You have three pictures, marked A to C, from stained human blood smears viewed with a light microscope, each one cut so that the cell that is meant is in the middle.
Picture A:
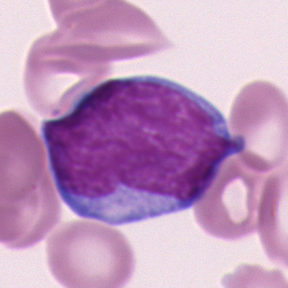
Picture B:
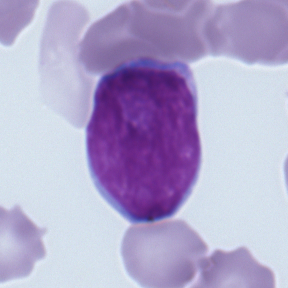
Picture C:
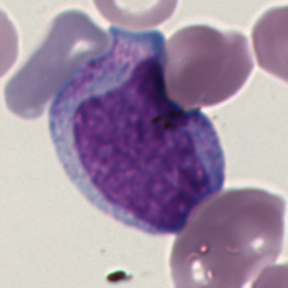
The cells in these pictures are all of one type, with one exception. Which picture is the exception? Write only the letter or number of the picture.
C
